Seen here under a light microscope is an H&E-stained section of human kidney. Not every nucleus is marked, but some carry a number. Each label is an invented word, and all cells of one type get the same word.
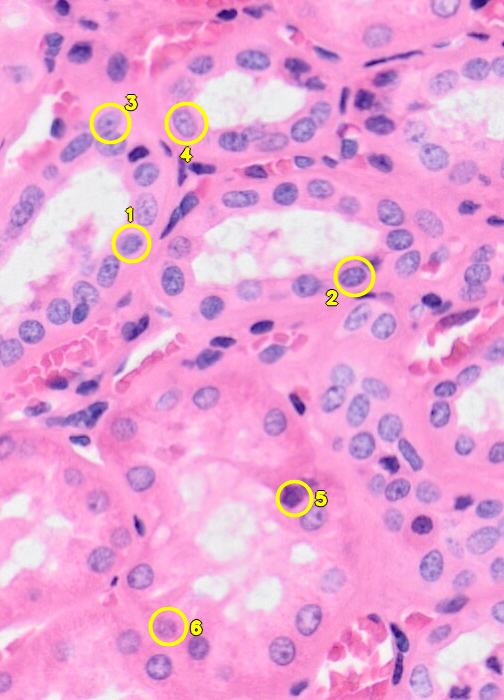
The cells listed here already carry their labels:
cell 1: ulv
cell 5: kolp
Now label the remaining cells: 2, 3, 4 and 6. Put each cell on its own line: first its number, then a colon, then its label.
2: ulv
3: ulv
4: ulv
6: kolp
